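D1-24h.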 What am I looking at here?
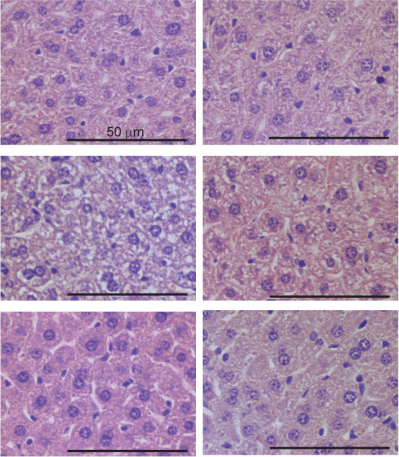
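Six fields of liver parenchyma stained with hematoxylin and eosin, arranged in three rows of two. Each shows closely packed polygonal liver cells with round, centrally placed purple nuclei, some cells with two nuclei, separated by narrow sinusoidal spaces. In the top and bottom rows the cytoplasm is fairly uniform pink and granular. In the middle row the cytoplasm is pale and extensively vacuolated, with many clear spaces that give the cells a foamy, lace-like appearance, and the nuclei stand out against the pale cytoplasm. Cell borders and nuclei remain visible in all six fields.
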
